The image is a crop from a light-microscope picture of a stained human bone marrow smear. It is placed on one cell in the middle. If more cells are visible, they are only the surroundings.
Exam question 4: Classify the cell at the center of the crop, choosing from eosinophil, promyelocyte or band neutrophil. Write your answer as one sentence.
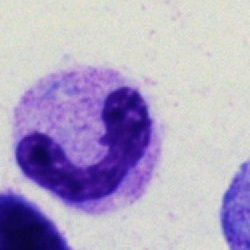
In the crop, the cell of interest at the centre is a band neutrophil.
